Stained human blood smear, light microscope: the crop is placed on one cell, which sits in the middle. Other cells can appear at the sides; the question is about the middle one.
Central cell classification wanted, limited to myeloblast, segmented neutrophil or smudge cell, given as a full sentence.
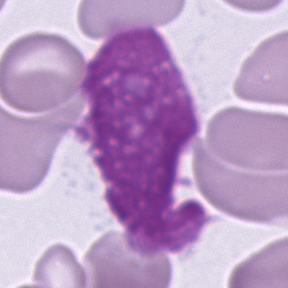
At the center of the crop sits a smudge cell.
